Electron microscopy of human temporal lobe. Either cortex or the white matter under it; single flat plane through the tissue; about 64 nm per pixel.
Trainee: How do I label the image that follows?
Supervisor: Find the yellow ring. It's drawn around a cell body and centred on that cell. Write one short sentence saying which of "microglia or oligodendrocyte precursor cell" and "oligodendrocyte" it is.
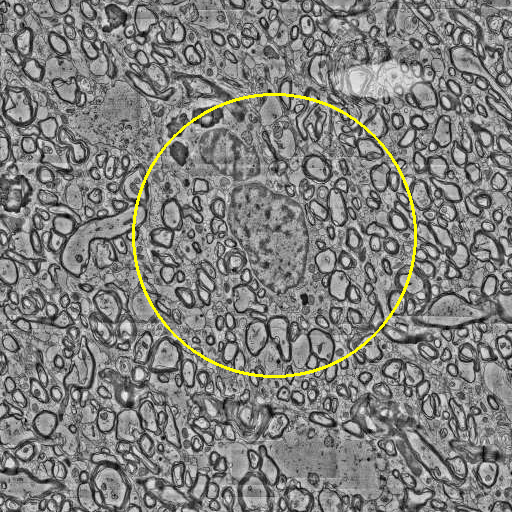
This is the cell body of an oligodendrocyte.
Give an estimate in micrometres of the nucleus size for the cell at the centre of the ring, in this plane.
The nucleus comes to roughly 7 by 5 micrometres in this plane.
